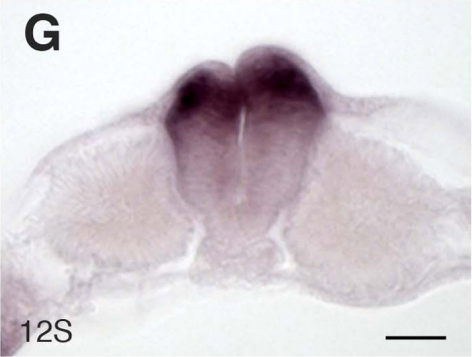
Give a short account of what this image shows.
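Transverse section through the neural tube, whose two closely apposed walls leave only a thin midline lumen. Dark purple stain fills the dorsal part of each wall, paler toward the ventral side. Large paired blocks of mesoderm lie on both sides under a thin covering ectoderm.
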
